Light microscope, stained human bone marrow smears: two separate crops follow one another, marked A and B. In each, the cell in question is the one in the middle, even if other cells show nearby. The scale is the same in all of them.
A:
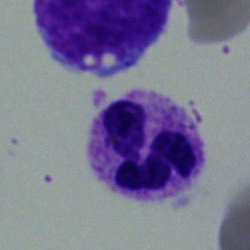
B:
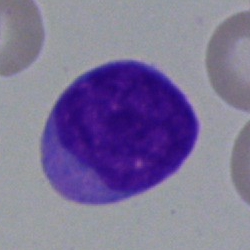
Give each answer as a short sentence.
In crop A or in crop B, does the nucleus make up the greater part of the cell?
The nucleus fills more of the cell in crop B than in crop A.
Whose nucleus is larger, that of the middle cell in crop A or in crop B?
The nucleus in crop B is larger, with about 3 times the area of the one in crop A.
